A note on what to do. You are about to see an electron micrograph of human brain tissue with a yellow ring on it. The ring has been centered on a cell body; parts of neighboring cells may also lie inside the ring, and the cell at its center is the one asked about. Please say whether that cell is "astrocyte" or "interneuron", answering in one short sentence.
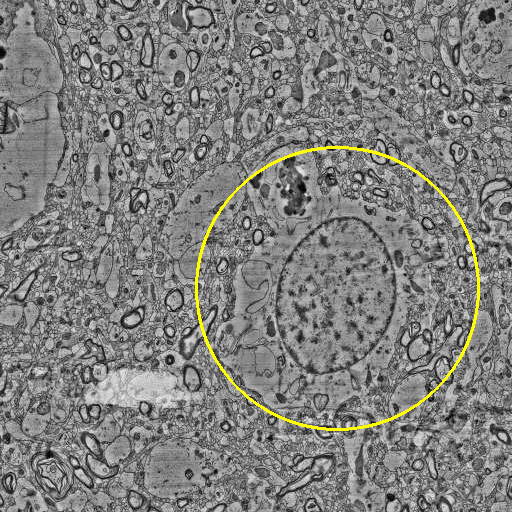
The yellow ring sits on an astrocyte.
